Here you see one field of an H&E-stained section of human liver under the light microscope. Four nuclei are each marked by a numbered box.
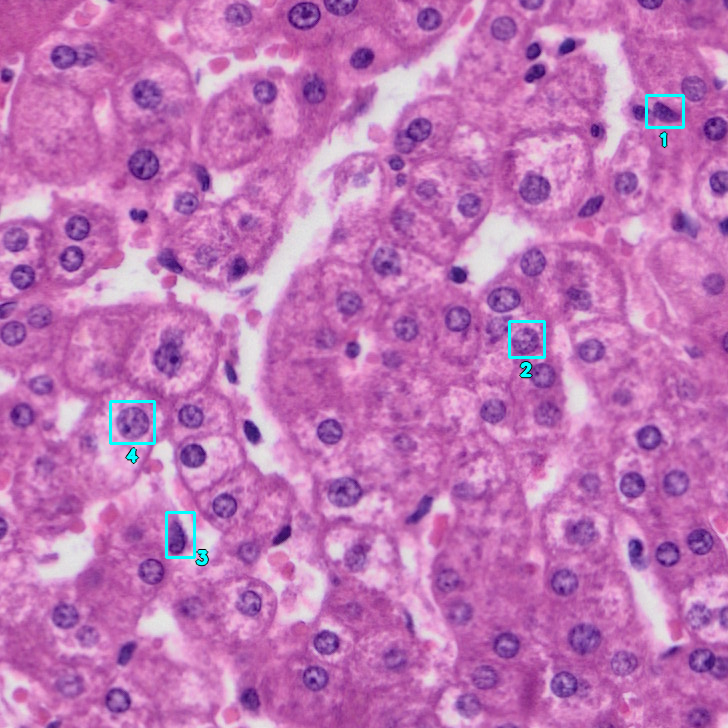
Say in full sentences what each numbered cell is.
Cell 1 is a fibroblast or stellate cell, cell 2 is a hepatocyte, cell 3 is a Kupffer cell and cell 4 is a hepatocyte.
